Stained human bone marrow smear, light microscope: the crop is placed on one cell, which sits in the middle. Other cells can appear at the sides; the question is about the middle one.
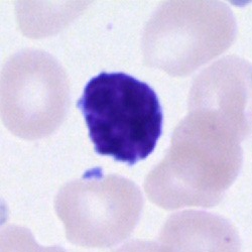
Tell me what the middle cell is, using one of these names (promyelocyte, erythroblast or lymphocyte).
lymphocyte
